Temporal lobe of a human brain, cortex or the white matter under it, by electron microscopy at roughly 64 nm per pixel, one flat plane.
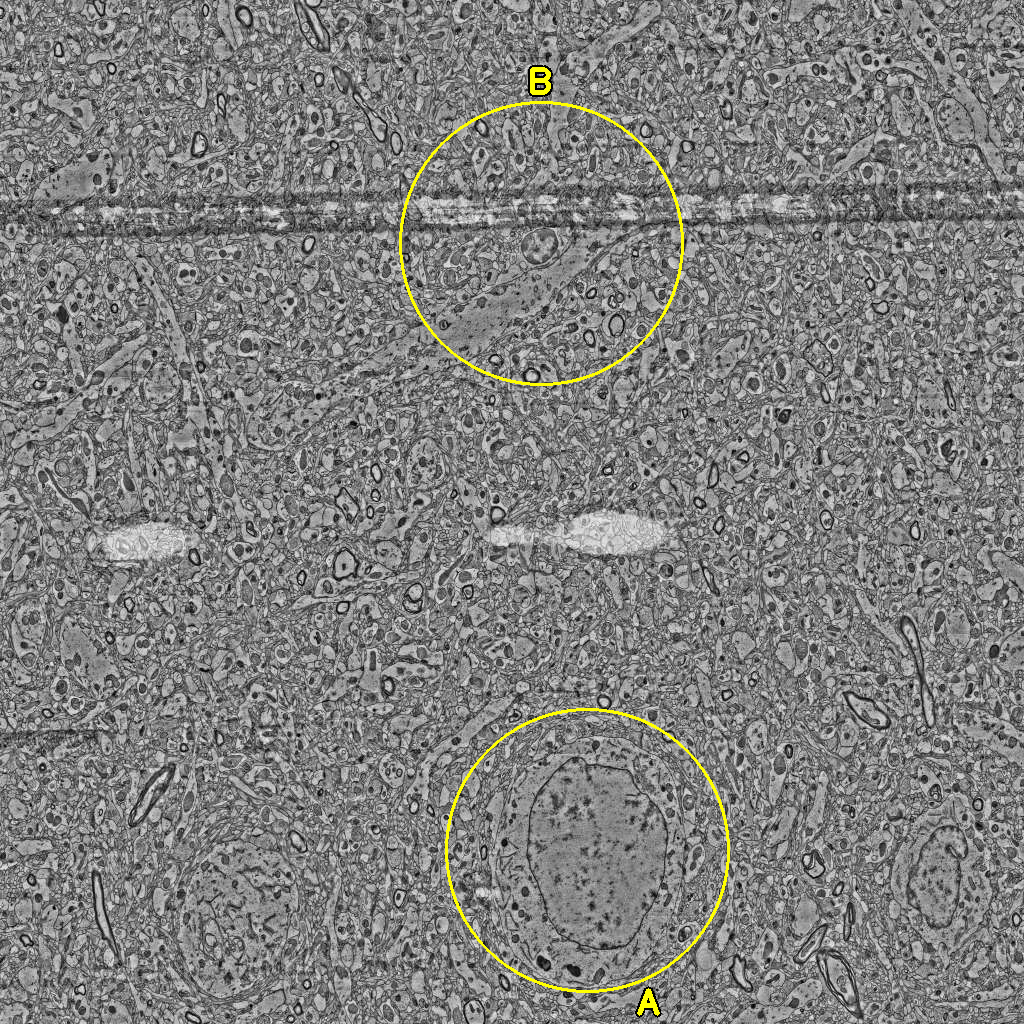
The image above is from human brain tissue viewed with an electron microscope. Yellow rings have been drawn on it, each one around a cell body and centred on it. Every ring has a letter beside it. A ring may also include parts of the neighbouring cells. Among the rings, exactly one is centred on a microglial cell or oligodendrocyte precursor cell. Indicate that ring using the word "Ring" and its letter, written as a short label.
Ring B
